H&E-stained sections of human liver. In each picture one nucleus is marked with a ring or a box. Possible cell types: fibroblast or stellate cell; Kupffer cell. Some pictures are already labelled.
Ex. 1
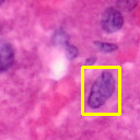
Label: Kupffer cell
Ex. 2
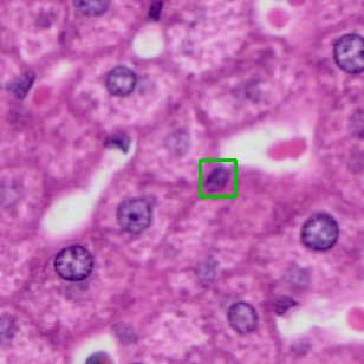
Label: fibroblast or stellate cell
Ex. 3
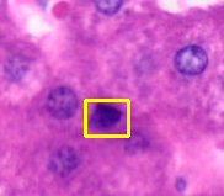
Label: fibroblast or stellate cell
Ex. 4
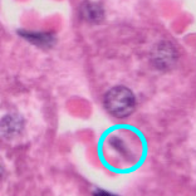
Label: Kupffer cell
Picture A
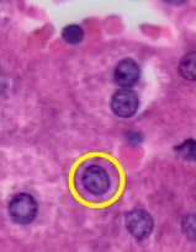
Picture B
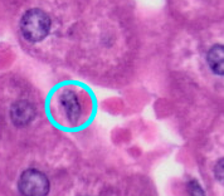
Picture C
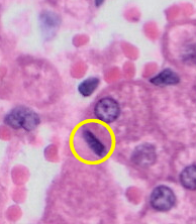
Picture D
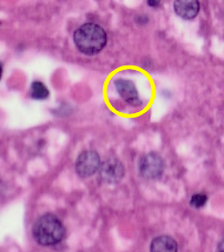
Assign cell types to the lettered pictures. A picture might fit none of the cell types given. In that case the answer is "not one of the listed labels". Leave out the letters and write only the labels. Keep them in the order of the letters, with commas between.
not one of the listed labels, Kupffer cell, fibroblast or stellate cell, Kupffer cell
